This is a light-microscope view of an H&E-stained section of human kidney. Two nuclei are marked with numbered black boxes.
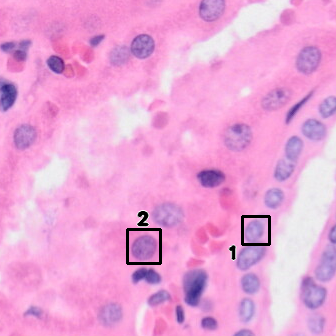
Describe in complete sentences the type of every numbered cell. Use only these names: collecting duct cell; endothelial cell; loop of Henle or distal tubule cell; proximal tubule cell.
Cell 1 is a collecting duct cell. Cell 2 is a proximal tubule cell.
